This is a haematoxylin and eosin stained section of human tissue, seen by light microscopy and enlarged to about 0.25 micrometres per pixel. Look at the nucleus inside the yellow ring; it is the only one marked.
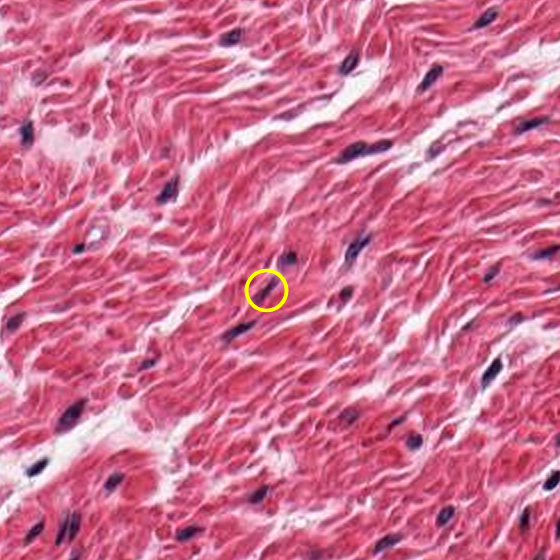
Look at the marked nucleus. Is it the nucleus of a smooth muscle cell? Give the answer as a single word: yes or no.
yes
